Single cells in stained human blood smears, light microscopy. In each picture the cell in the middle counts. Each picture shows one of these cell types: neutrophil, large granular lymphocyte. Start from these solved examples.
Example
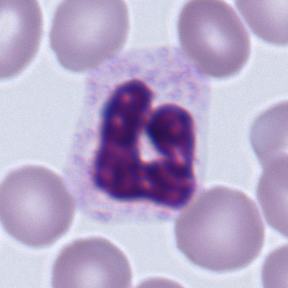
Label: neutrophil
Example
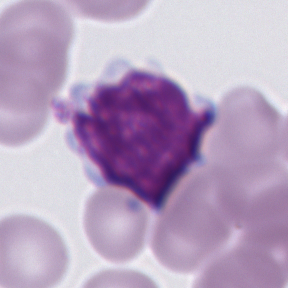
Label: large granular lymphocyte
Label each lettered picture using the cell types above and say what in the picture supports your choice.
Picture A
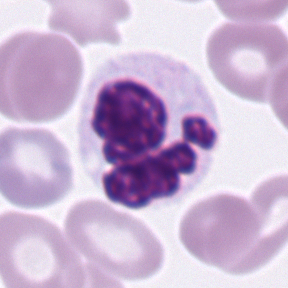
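neutrophil. The cytoplasm is plentiful and pale lilac-pink.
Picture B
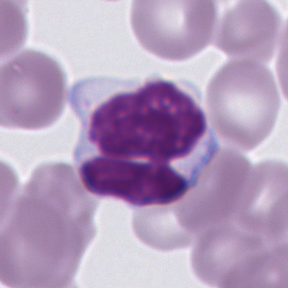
large granular lymphocyte. The cytoplasm forms a narrow rim that is widest at the upper left of the cell.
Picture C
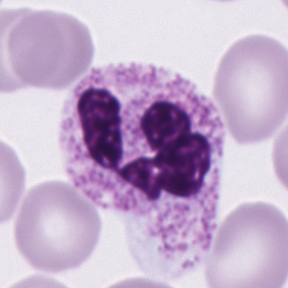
neutrophil. The cytoplasm is plentiful and pale pinkish-lilac.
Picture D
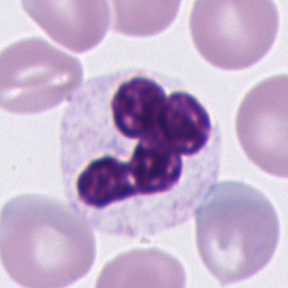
neutrophil. The cytoplasm is abundant and very pale pinkish-lilac.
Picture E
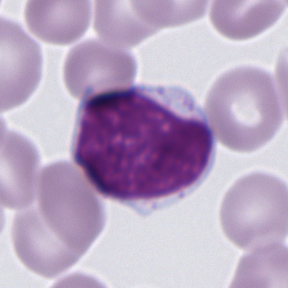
large granular lymphocyte. The cytoplasm is a scant pale bluish-grey rim, widest at the upper right of the cell.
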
